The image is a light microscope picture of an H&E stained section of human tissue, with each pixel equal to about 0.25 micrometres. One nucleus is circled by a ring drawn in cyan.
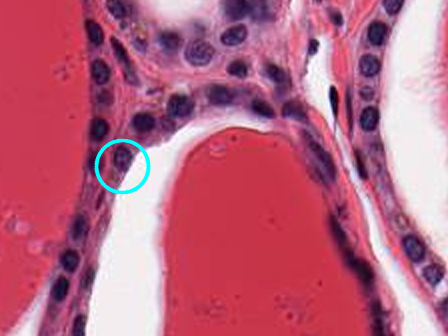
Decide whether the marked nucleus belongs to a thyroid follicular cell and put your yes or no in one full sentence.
Yes, the marked nucleus is one that belongs to a thyroid follicular cell.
